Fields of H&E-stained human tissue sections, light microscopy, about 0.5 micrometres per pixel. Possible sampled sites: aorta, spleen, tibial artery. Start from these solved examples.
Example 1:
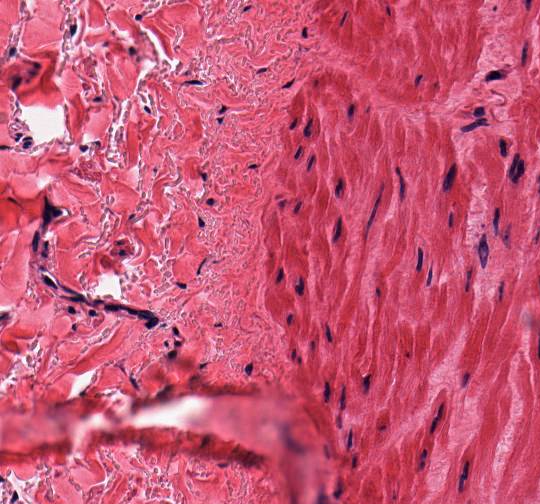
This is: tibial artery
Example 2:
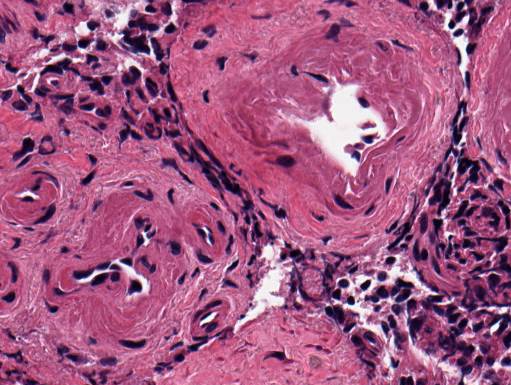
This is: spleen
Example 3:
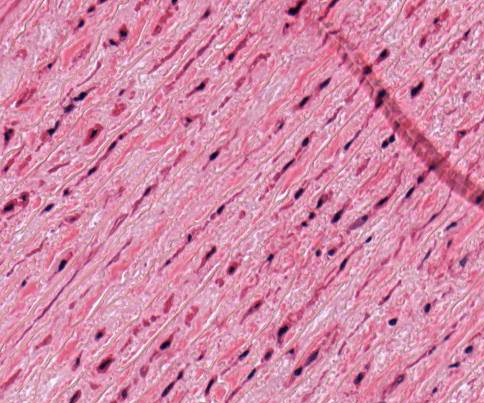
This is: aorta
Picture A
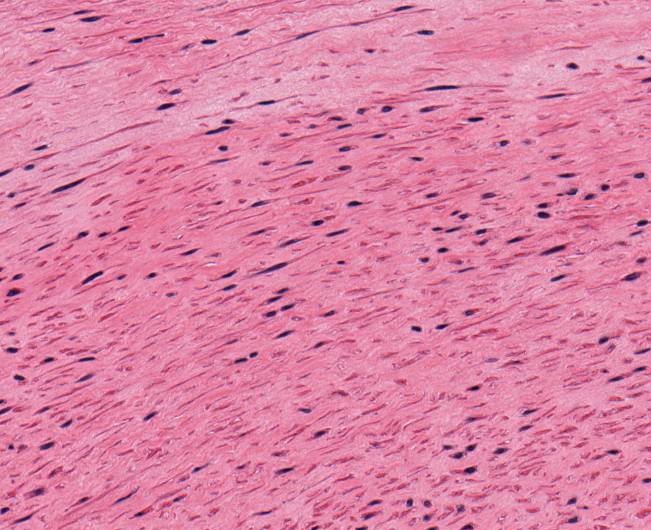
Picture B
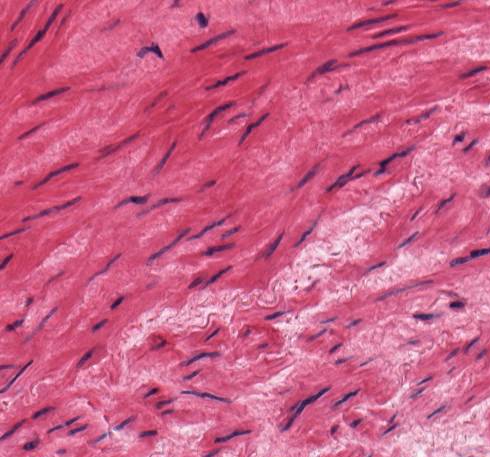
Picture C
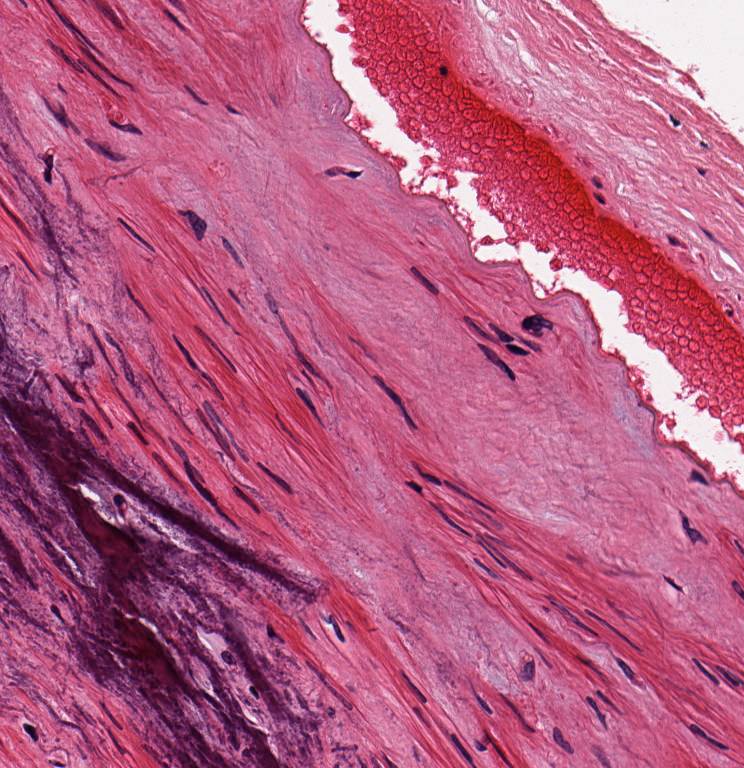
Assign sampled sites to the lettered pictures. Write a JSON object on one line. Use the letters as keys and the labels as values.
{"A": "tibial artery", "B": "tibial artery", "C": "tibial artery"}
